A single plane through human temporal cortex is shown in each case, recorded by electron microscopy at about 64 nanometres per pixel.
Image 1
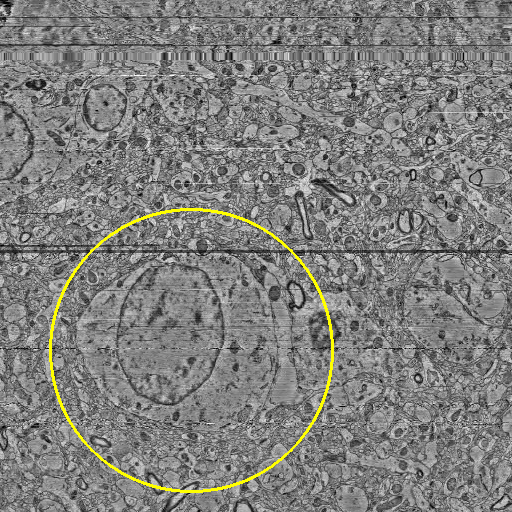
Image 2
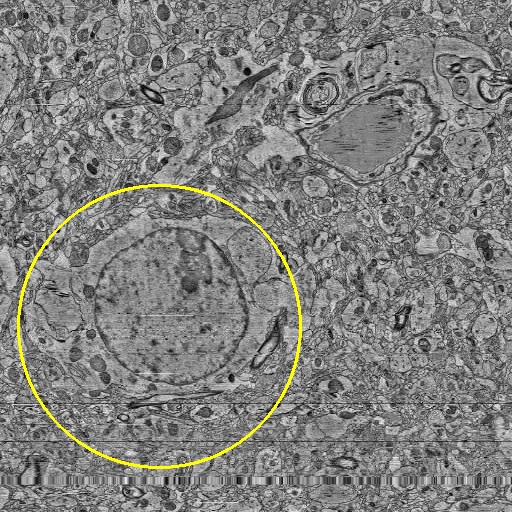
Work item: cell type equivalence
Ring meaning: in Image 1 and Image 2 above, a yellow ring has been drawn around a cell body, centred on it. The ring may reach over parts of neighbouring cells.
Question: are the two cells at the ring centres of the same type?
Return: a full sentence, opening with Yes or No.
No, the two centred cells are of two types.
